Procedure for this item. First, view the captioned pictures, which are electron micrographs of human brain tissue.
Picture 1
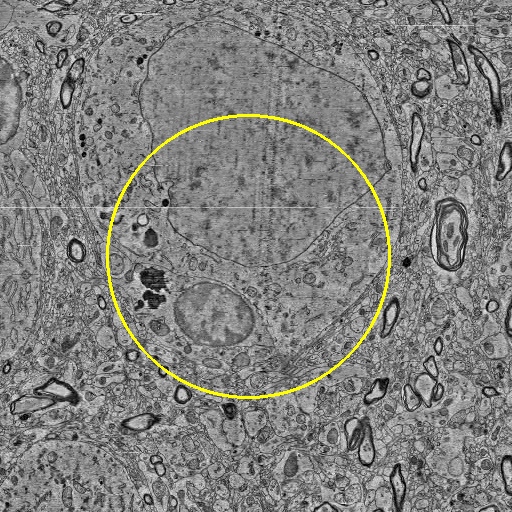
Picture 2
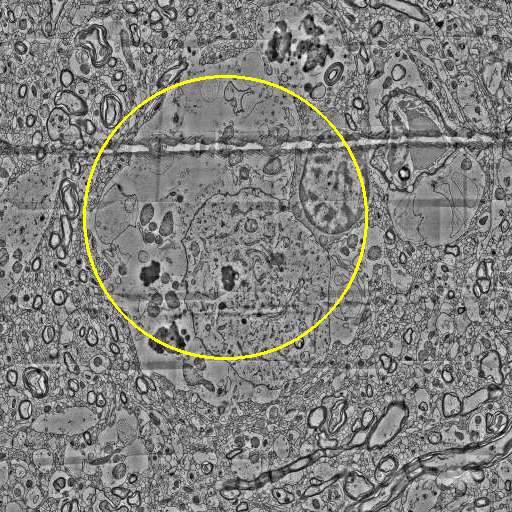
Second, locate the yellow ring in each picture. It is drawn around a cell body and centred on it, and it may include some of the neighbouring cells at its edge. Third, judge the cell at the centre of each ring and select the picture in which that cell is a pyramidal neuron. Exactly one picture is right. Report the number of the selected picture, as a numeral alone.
1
